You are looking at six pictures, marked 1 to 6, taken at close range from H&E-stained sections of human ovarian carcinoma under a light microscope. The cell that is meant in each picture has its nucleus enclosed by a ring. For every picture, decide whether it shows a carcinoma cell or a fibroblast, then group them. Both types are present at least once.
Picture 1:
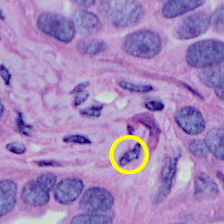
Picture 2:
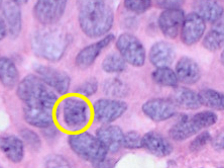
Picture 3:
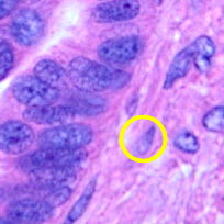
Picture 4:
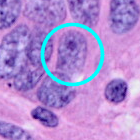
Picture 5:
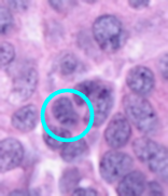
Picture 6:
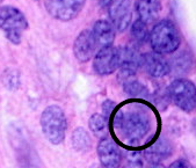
1: fibroblast
2: carcinoma cell
3: fibroblast
4: carcinoma cell
5: carcinoma cell
6: carcinoma cell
